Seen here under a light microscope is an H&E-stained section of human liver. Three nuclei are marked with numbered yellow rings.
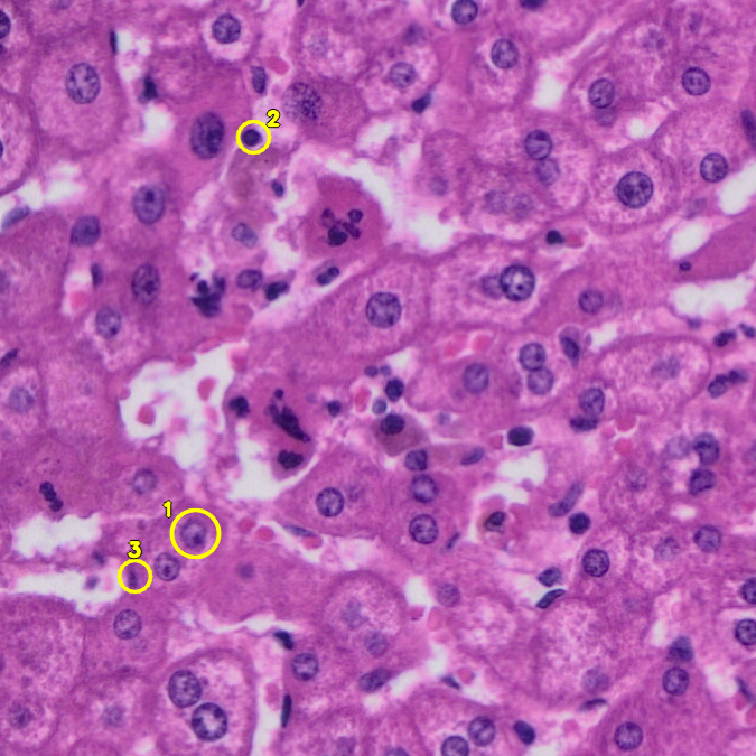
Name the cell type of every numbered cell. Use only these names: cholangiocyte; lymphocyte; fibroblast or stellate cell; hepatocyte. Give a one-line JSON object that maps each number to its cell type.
{"1": "hepatocyte", "2": "lymphocyte", "3": "fibroblast or stellate cell"}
